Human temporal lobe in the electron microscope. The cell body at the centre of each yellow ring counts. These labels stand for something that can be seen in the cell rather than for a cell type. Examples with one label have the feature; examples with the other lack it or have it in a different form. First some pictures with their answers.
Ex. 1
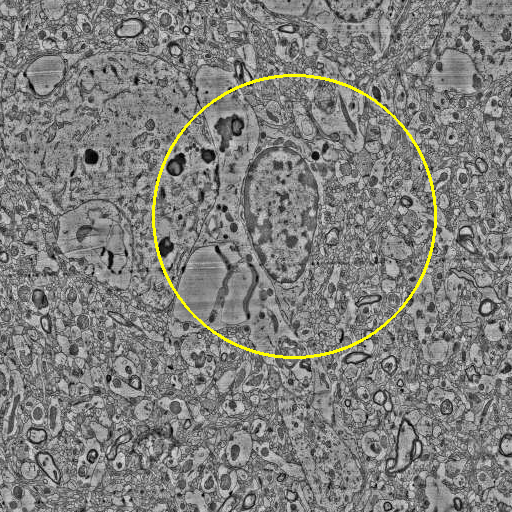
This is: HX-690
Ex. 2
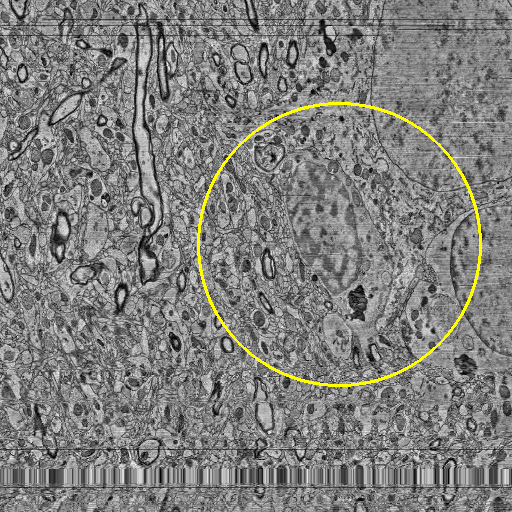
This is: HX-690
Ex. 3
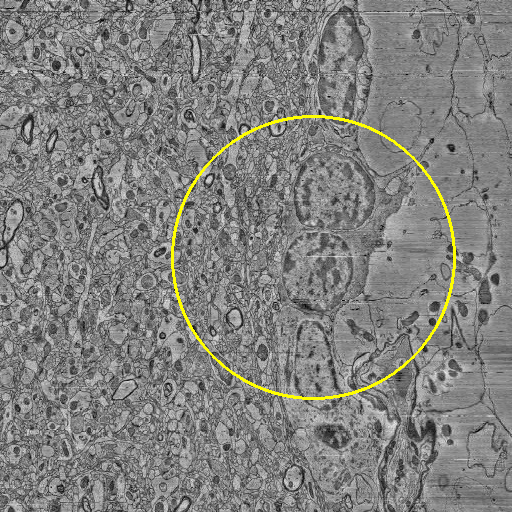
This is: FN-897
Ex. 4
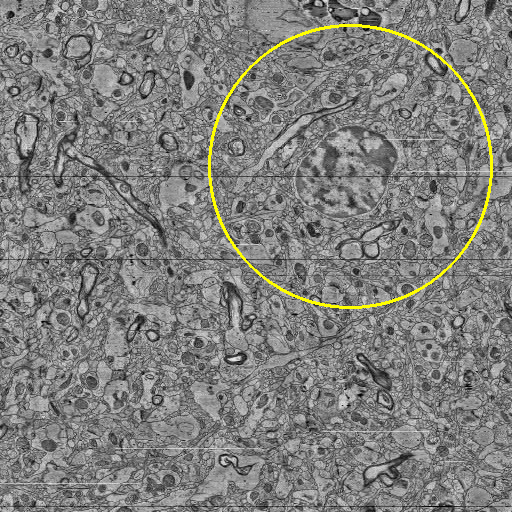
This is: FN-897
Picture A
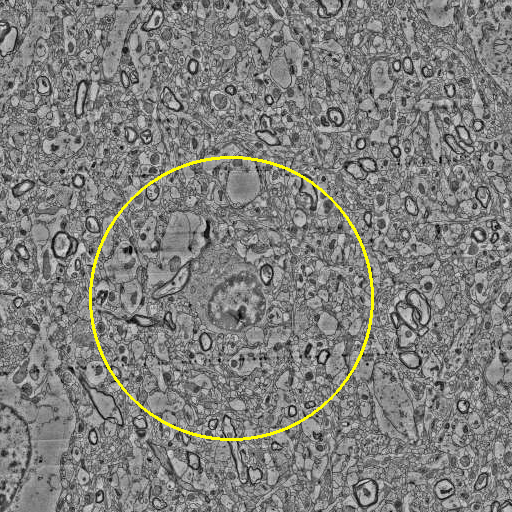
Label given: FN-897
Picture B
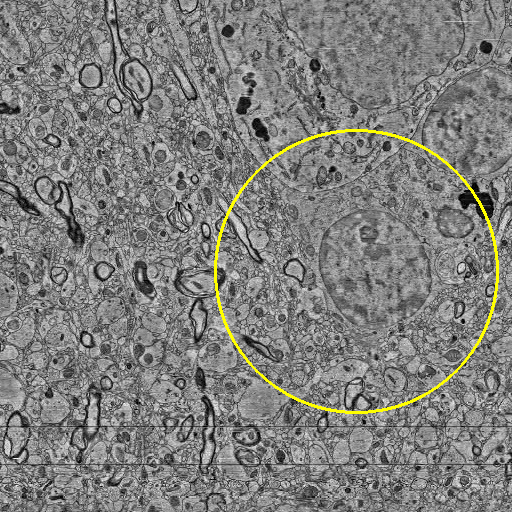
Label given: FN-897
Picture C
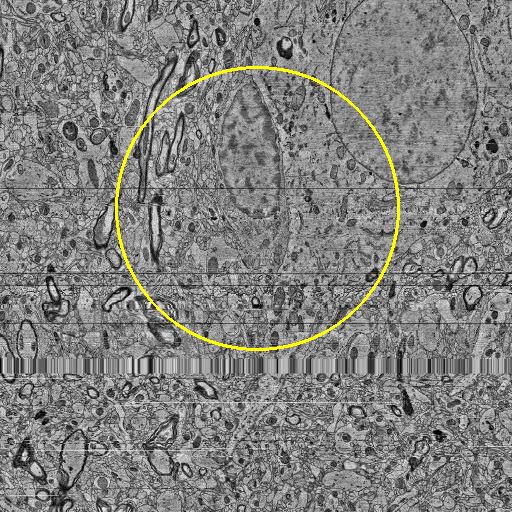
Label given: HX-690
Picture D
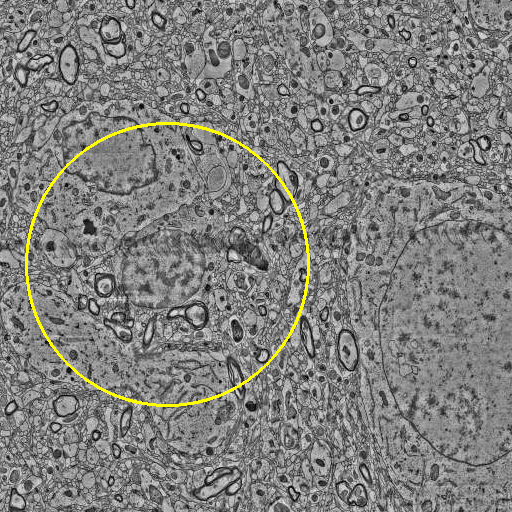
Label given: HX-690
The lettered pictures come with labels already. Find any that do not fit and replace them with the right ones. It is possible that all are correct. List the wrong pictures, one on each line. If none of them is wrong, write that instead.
D should be FN-897, not HX-690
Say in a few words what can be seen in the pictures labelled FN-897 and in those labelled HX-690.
In FN-897: round or nearly round nuclei. In HX-690: clearly elongated nuclei.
